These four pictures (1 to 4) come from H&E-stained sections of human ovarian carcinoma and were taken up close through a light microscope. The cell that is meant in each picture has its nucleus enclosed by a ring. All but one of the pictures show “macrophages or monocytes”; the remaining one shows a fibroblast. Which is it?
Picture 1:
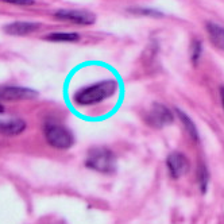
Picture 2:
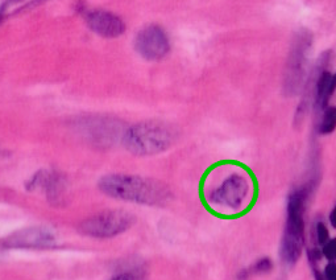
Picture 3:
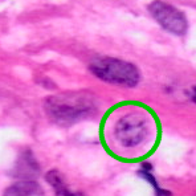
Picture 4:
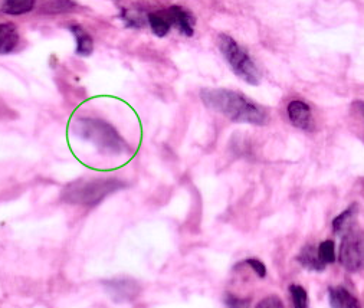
4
